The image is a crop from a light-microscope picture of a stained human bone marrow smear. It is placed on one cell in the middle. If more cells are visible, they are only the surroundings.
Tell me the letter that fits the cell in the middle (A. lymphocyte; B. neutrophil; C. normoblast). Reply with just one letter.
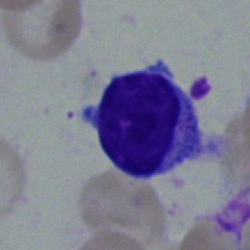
A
